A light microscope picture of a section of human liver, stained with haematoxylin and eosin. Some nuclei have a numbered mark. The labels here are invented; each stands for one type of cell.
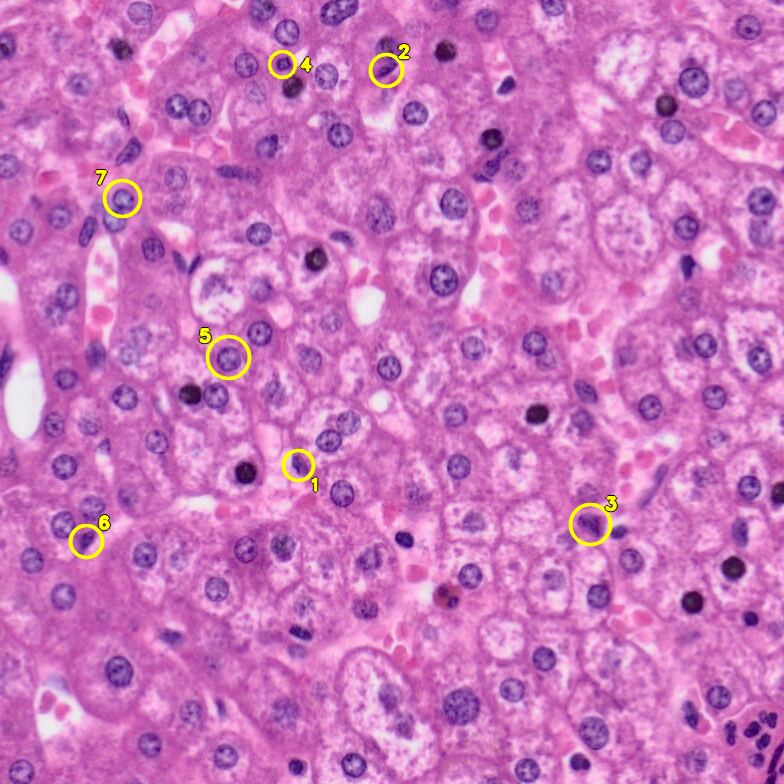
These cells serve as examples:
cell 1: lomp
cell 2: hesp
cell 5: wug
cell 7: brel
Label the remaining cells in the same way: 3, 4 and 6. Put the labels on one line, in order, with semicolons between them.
lomp; hesp; hesp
